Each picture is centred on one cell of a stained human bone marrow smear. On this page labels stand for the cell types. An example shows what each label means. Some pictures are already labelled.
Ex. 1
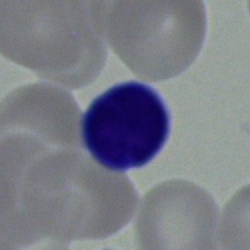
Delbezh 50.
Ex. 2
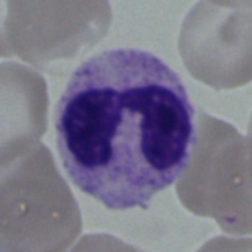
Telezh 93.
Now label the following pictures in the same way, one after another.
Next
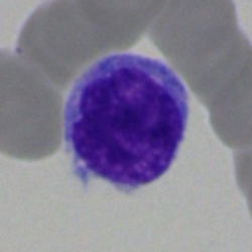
Delbezh 50.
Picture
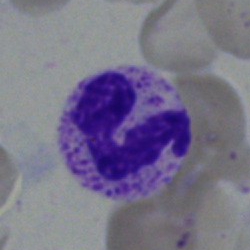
Telezh 93.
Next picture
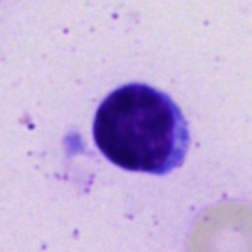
Delbezh 50.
